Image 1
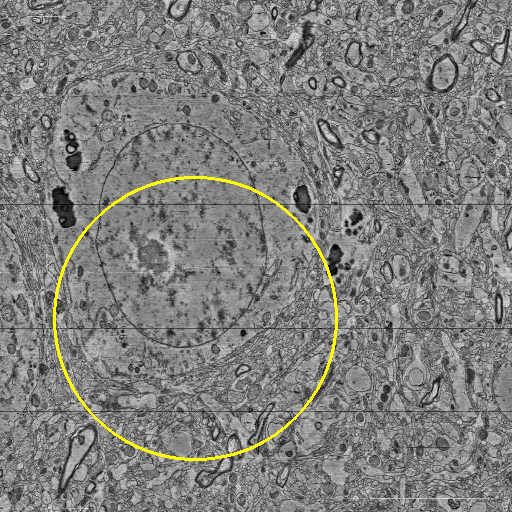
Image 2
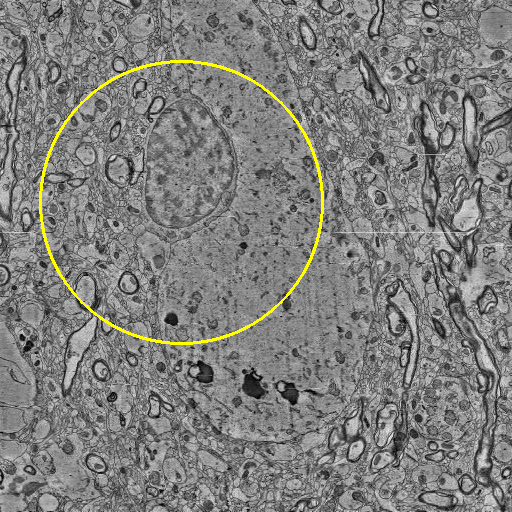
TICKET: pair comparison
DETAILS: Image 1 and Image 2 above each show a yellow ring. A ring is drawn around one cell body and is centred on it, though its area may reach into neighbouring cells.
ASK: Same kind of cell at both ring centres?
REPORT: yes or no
no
